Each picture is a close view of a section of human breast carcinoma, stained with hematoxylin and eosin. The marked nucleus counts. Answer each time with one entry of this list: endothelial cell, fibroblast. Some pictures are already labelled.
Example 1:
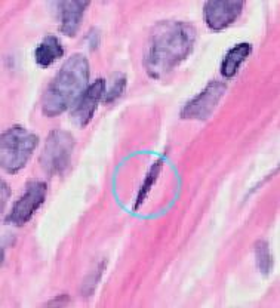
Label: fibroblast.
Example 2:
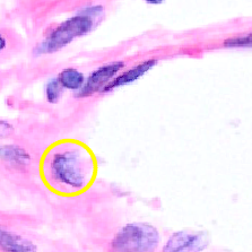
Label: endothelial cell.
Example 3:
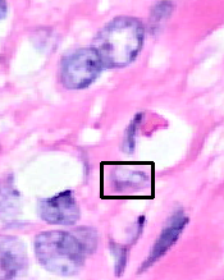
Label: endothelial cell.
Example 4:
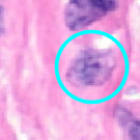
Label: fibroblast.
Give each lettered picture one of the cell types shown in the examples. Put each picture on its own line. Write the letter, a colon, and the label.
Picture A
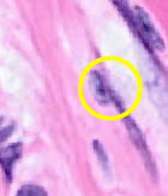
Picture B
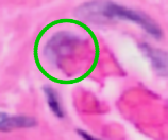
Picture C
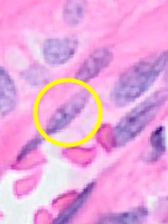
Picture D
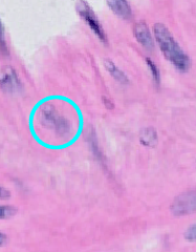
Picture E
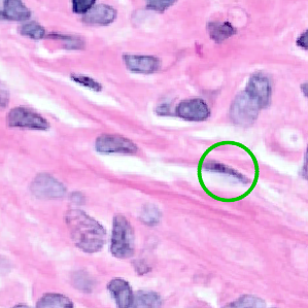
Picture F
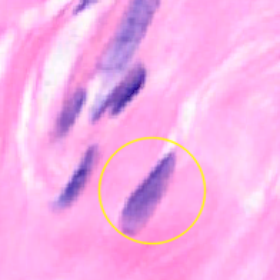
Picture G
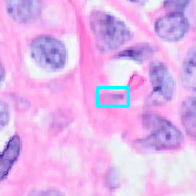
A: endothelial cell.
B: endothelial cell.
C: endothelial cell.
D: endothelial cell.
E: fibroblast.
F: fibroblast.
G: endothelial cell.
